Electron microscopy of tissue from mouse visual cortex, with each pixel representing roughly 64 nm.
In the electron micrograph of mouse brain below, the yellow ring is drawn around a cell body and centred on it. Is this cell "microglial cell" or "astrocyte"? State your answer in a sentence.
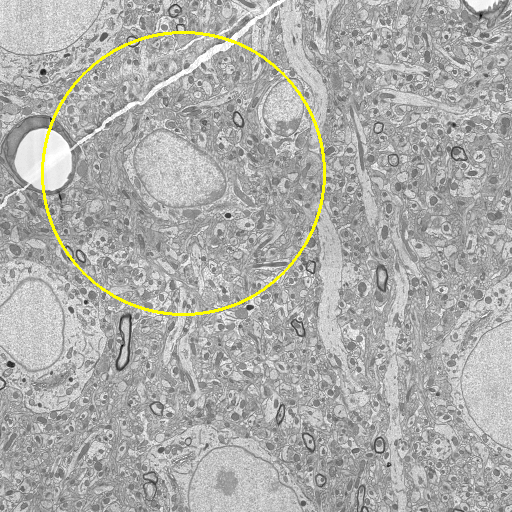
The cell in the middle of the ring is an astrocyte.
